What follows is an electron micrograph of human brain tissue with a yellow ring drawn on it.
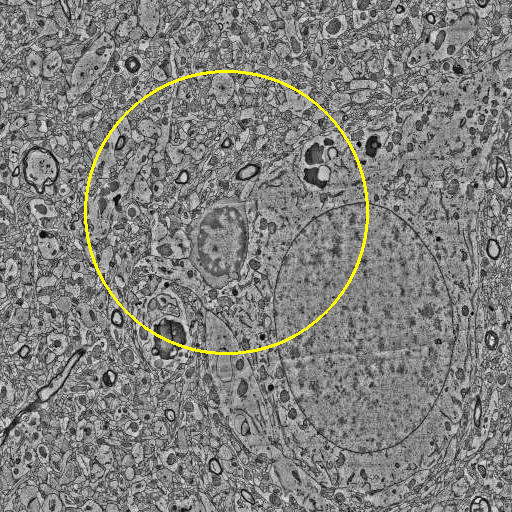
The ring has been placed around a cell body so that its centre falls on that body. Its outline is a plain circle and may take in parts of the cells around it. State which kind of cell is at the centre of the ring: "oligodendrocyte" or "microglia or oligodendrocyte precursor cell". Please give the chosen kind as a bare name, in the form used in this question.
oligodendrocyte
